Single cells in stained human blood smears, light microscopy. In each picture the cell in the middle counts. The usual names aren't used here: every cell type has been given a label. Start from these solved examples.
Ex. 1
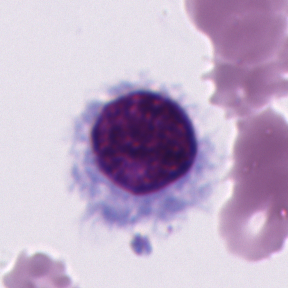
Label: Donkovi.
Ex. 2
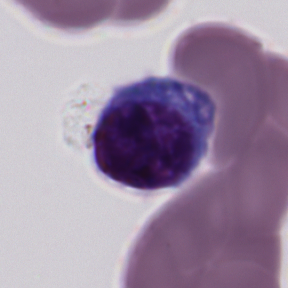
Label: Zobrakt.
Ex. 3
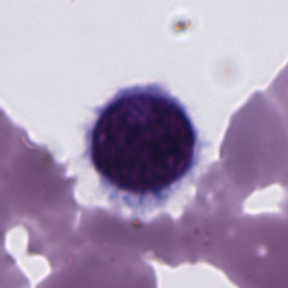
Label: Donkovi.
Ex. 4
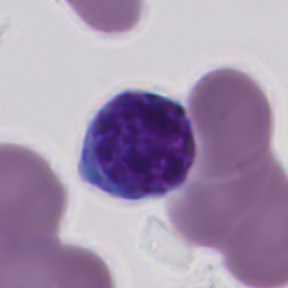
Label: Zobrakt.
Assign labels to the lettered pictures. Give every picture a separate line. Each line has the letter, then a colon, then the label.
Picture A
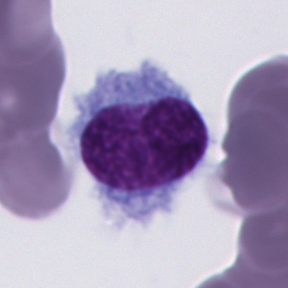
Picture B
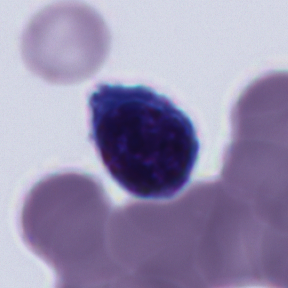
A: Donkovi.
B: Zobrakt.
